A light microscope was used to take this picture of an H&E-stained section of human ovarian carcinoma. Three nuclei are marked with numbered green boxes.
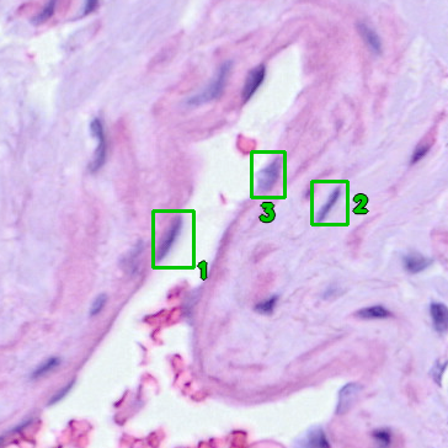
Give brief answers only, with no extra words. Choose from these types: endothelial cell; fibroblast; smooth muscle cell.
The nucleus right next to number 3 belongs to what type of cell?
fibroblast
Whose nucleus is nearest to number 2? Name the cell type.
endothelial cell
